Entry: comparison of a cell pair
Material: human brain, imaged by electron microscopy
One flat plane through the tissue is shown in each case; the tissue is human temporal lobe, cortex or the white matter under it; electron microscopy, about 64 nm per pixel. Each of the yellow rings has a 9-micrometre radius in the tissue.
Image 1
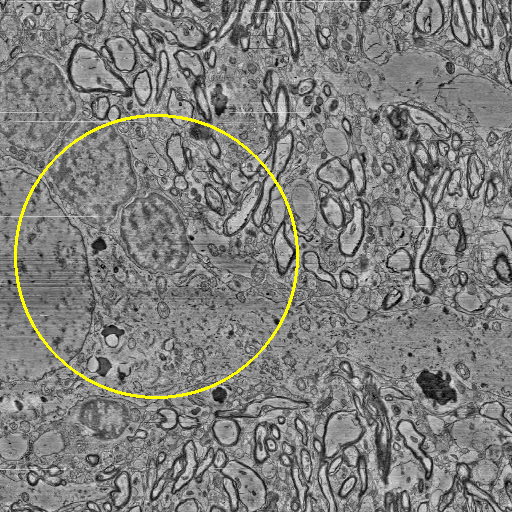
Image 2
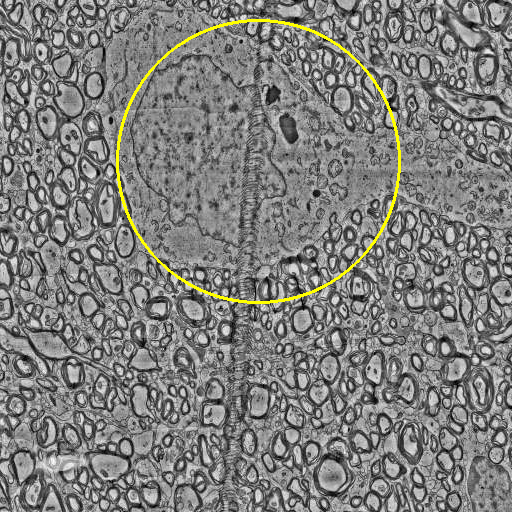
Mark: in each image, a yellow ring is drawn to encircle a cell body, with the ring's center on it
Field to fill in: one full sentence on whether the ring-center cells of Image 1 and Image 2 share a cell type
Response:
No, Image 1 and Image 2 show ring-center cells of two separate types.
